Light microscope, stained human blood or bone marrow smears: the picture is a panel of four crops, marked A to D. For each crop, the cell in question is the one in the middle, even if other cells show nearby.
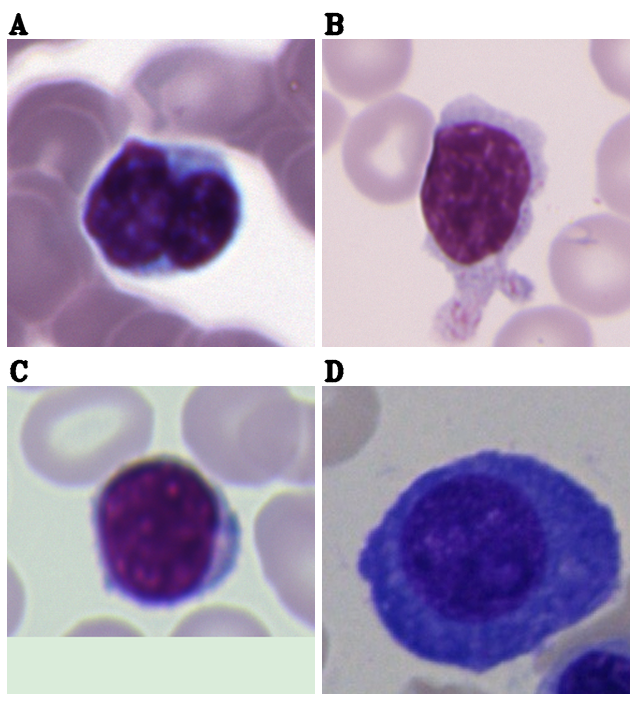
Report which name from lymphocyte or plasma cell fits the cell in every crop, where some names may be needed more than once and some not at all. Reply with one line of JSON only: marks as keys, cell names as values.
{"A": "lymphocyte", "B": "lymphocyte", "C": "lymphocyte", "D": "plasma cell"}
